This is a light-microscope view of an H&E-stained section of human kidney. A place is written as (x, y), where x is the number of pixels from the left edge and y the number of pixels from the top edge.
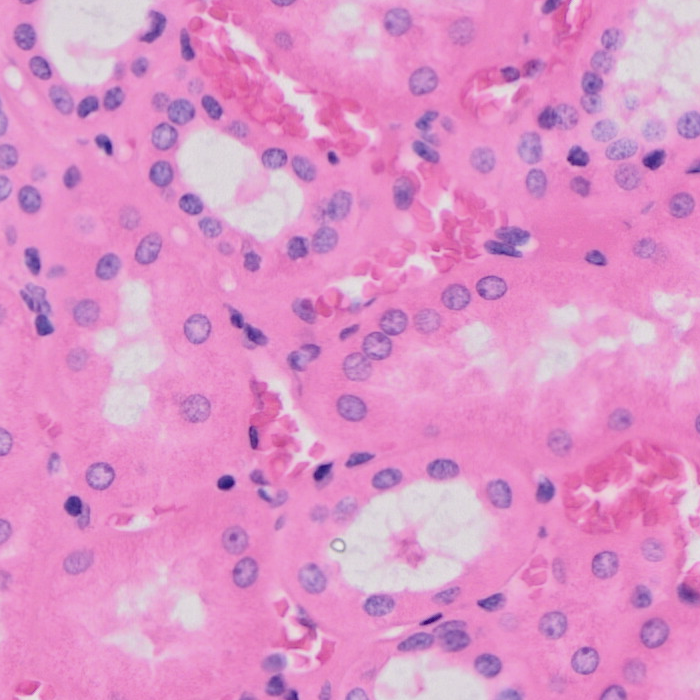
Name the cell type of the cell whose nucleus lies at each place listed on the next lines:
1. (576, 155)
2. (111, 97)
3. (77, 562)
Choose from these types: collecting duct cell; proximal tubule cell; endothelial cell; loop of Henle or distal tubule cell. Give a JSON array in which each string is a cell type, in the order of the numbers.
["loop of Henle or distal tubule cell", "loop of Henle or distal tubule cell", "proximal tubule cell"]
